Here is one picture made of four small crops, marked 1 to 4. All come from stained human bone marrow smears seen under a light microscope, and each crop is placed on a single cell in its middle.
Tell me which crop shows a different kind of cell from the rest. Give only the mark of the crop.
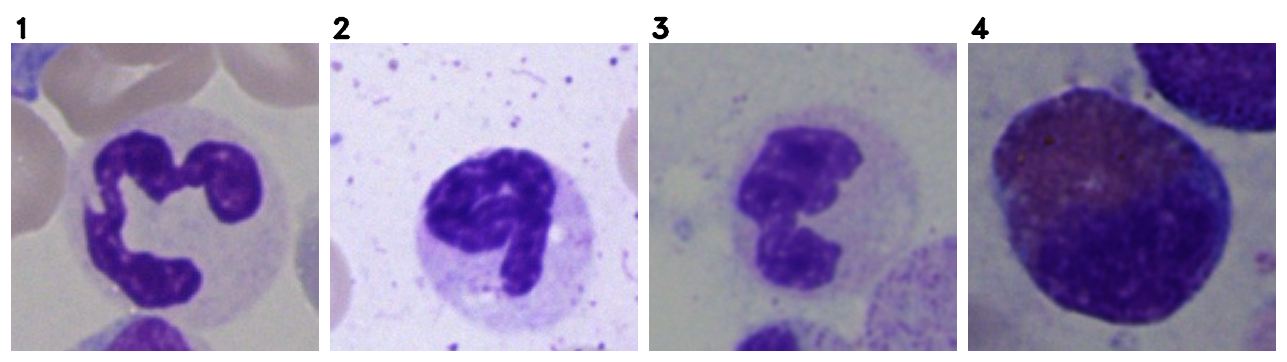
4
